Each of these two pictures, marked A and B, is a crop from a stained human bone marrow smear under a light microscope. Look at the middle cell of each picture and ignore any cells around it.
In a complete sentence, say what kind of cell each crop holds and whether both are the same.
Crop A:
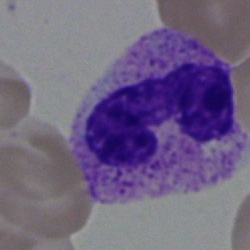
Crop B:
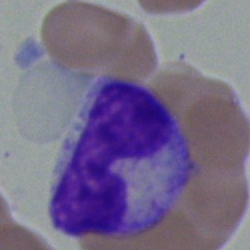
No, the cell of interest in crop A is a band neutrophil, and in crop B it is a metamyelocyte.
